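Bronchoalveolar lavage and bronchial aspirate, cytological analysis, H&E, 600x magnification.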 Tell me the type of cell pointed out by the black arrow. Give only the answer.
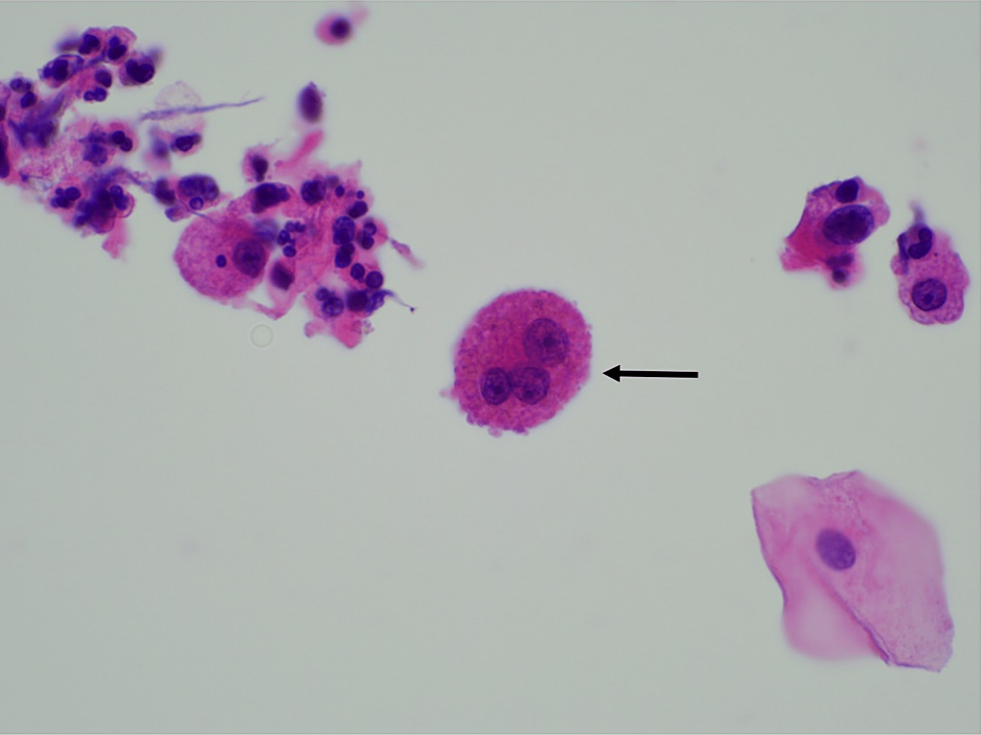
multinucleated giant cells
